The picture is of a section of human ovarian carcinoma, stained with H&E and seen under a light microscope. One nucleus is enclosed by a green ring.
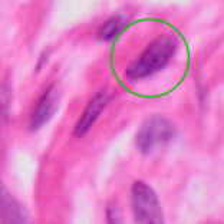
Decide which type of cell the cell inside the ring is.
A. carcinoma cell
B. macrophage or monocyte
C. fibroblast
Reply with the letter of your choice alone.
C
